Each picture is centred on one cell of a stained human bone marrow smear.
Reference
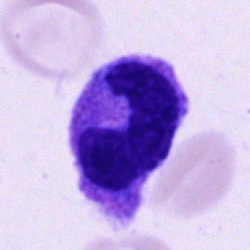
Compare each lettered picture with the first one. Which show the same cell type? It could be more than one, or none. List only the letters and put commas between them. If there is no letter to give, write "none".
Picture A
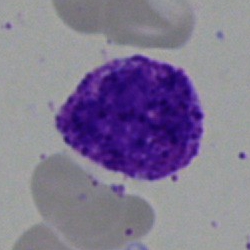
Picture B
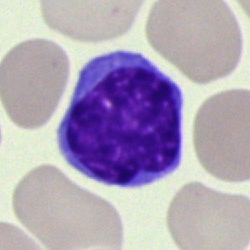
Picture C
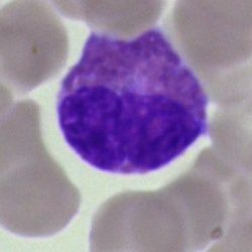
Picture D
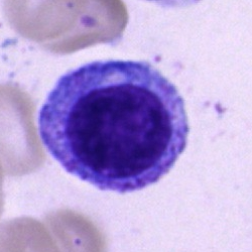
none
